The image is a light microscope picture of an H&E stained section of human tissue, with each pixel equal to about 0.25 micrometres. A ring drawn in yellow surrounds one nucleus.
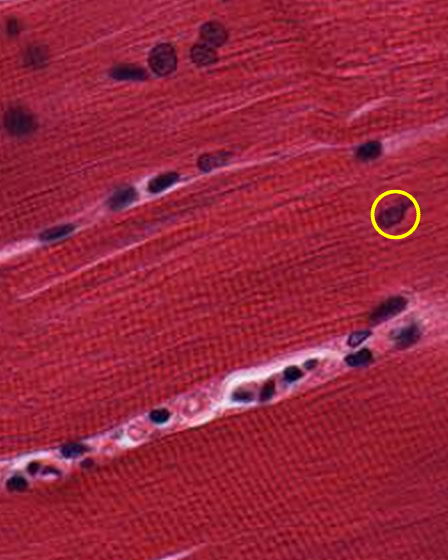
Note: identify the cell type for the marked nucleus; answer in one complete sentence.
The cell whose nucleus is marked is a skeletal muscle fibre.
